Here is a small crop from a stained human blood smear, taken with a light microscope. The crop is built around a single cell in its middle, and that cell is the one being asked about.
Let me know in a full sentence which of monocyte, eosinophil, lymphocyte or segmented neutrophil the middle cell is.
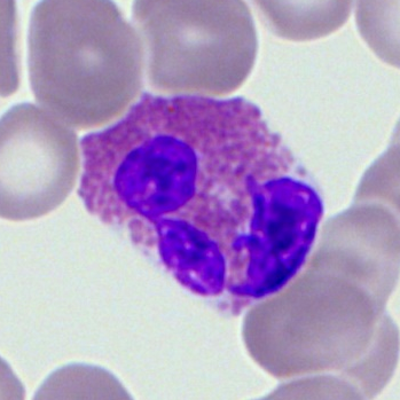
The cell at the heart of this crop is an eosinophil.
